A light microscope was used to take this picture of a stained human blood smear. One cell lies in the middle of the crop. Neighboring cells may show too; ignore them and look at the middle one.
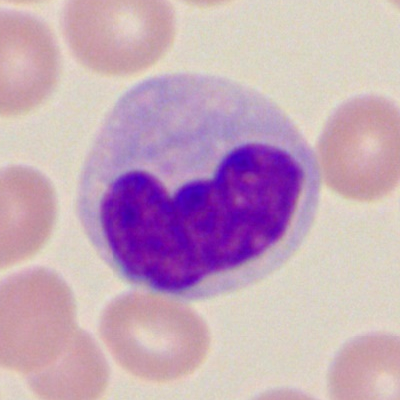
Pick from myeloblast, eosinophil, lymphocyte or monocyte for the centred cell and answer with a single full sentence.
The cell of interest, in the center, is a monocyte.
